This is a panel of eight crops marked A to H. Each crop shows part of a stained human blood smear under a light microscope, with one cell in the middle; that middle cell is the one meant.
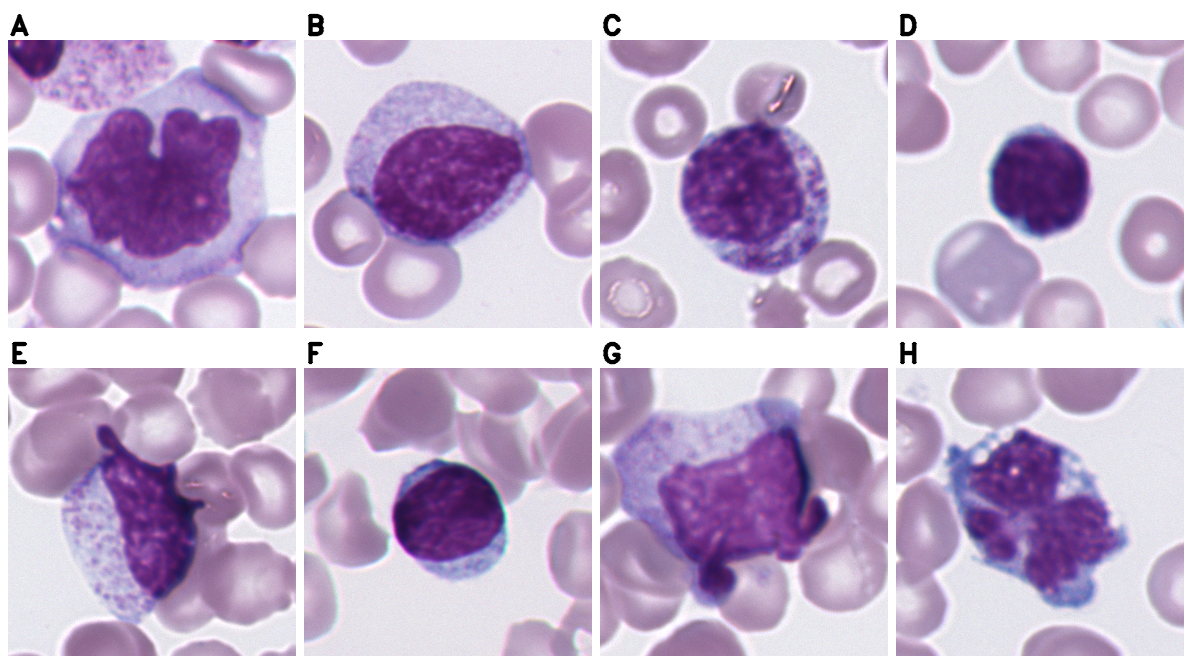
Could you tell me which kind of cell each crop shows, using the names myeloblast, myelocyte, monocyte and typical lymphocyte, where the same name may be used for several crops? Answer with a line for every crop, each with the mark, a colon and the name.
A: monocyte
B: myelocyte
C: myelocyte
D: typical lymphocyte
E: myelocyte
F: typical lymphocyte
G: myelocyte
H: monocyte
